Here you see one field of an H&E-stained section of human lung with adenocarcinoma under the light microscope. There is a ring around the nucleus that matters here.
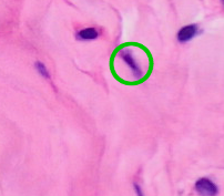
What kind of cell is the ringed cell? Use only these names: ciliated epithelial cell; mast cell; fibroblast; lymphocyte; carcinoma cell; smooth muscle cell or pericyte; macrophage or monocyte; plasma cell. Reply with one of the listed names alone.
fibroblast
